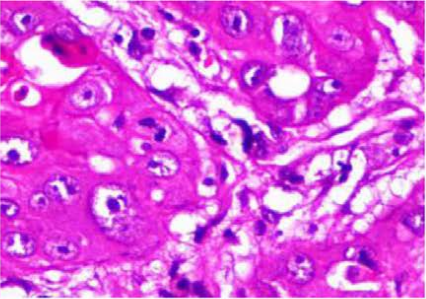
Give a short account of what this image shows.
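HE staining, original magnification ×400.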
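High-power view of nests of tumor epithelial cells with abundant pink cytoplasm, separated by pale, loose stroma with clear spaces. The nuclei are large, with dark purple chromatin, and many contain or are surrounded by clear vacuoles.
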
